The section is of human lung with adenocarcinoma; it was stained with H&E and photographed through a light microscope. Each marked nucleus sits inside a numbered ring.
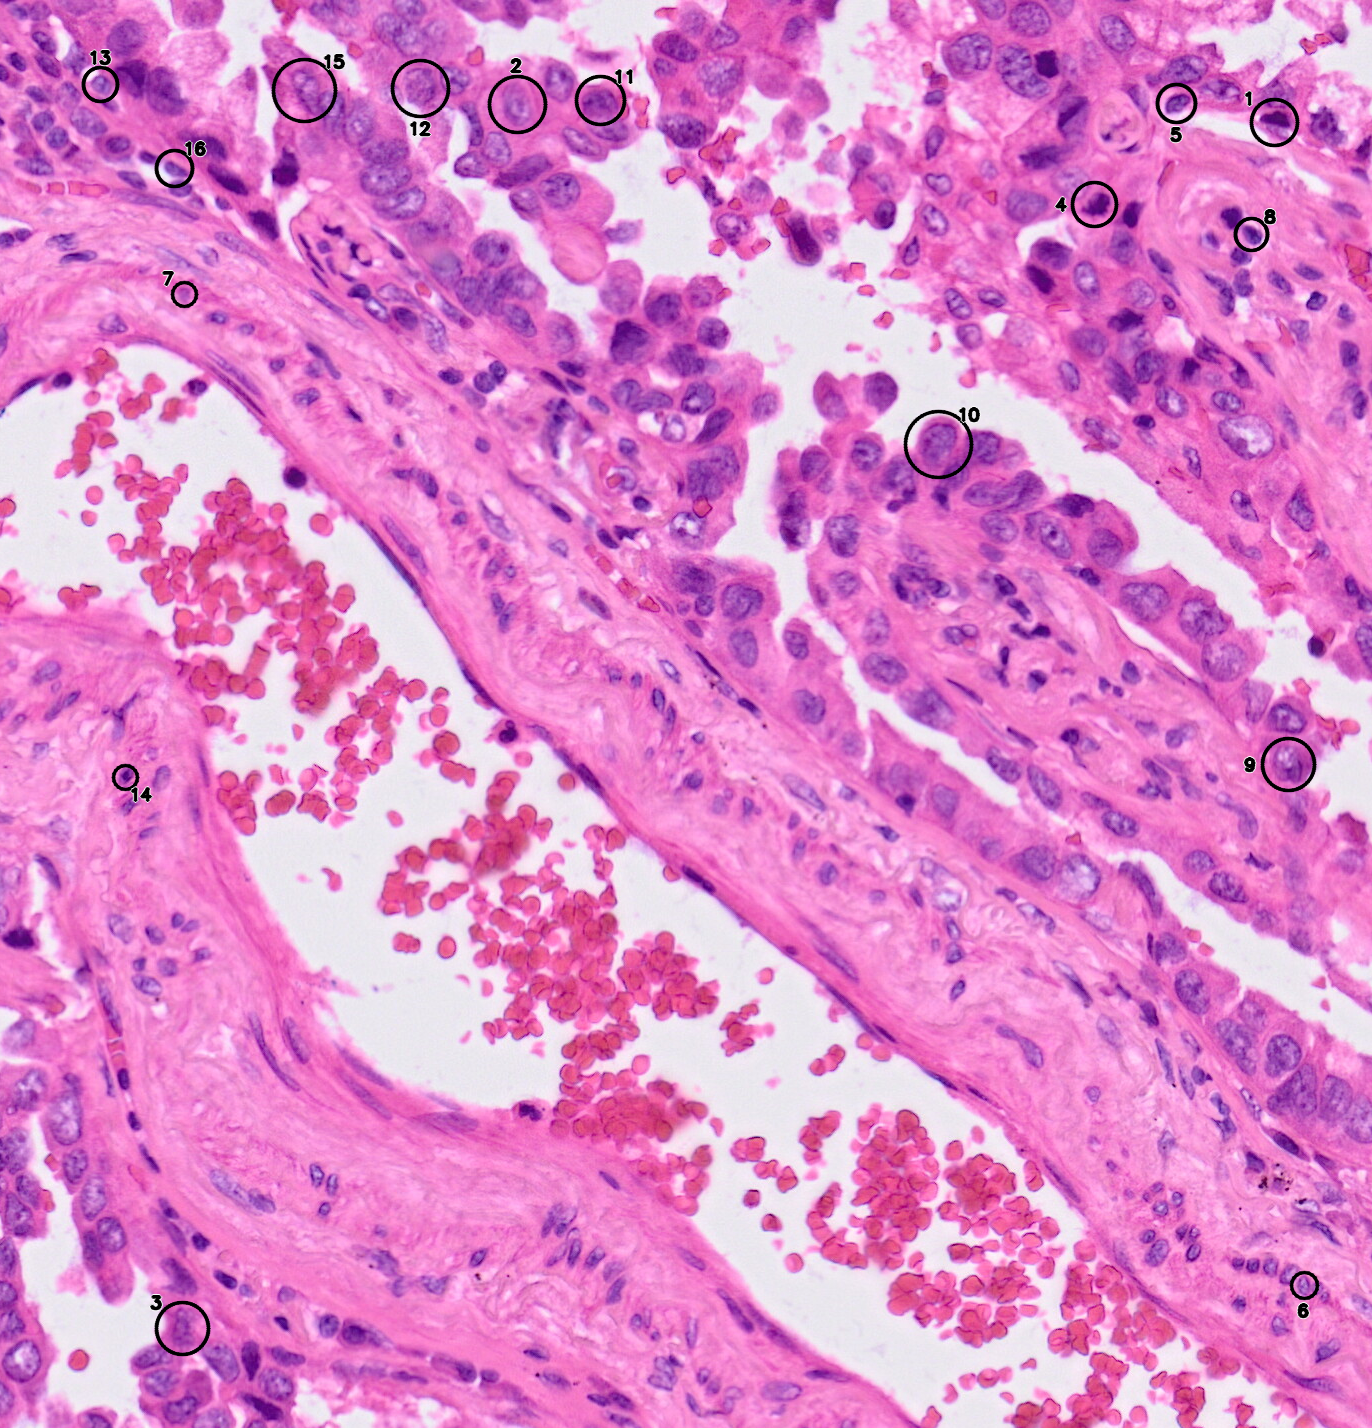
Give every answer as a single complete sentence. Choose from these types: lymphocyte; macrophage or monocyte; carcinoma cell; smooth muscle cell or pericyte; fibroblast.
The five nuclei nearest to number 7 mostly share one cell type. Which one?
Fibroblasts make up most of the five nuclei closest to number 7.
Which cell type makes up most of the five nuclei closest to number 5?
Carcinoma cells make up most of the five nuclei closest to number 5.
